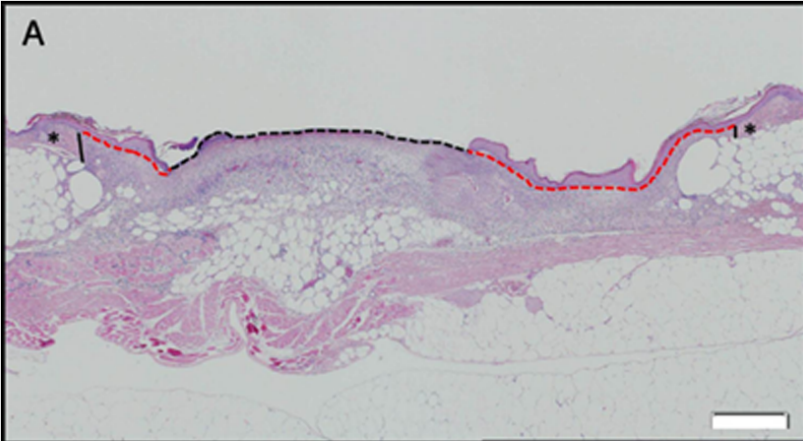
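This low-power section shows a skin wound, with a thin purple surface layer advancing from intact skin at both ends over a central area whose surface is not covered. The intact skin at each end lies over fat and is marked by asterisks. The wound centre is filled with pink and purple cellular tissue mixed with fat cells, and below it lie bands of pink muscle and more fat. The red dashed lines follow the new surface layer and the black dashed line the uncovered gap between them.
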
